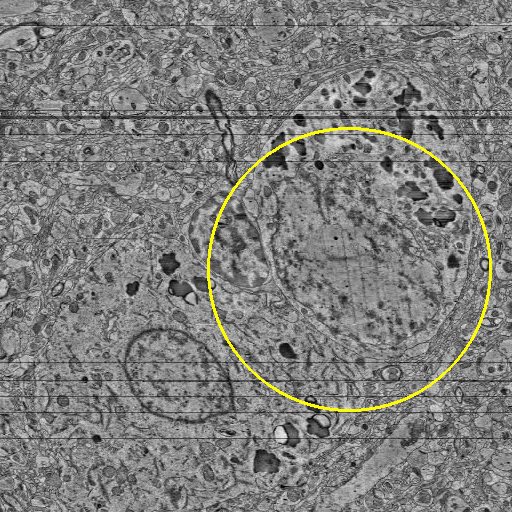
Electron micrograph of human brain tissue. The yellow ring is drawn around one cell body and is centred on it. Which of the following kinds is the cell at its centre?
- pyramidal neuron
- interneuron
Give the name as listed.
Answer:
interneuron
